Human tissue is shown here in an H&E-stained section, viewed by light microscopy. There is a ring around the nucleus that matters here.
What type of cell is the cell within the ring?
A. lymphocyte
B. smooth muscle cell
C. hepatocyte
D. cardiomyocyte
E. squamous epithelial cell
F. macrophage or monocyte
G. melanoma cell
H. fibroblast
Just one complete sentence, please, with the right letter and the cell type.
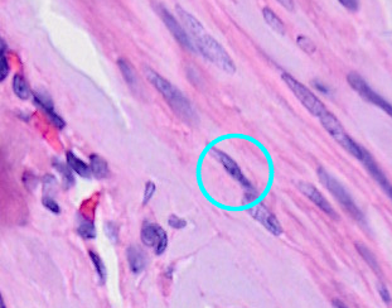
Here the correct option is B, since the cell within the ring is a smooth muscle cell.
